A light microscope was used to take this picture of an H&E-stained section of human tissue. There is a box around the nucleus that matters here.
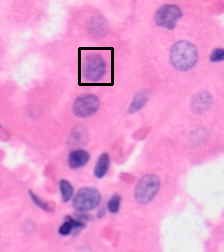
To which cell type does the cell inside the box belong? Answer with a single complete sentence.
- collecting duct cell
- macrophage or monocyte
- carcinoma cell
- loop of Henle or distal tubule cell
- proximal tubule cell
It is as a proximal tubule cell that the cell inside the box is classified.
